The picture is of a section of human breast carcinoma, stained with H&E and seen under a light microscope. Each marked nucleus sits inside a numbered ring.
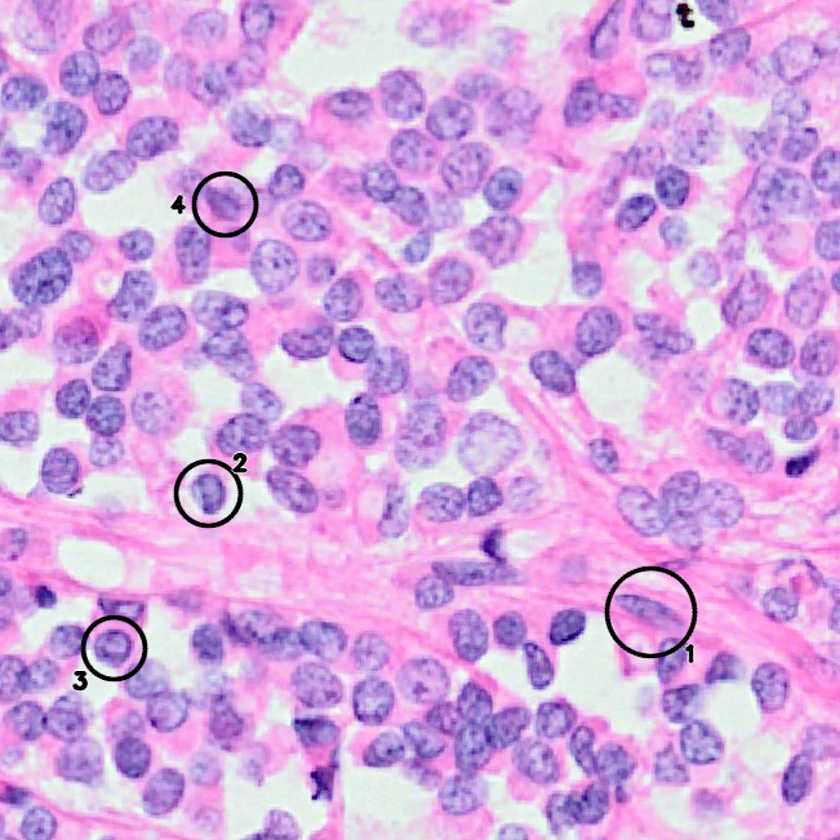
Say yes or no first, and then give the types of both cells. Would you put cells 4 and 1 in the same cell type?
No, cell 4 is a carcinoma cell and cell 1 is an endothelial cell.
